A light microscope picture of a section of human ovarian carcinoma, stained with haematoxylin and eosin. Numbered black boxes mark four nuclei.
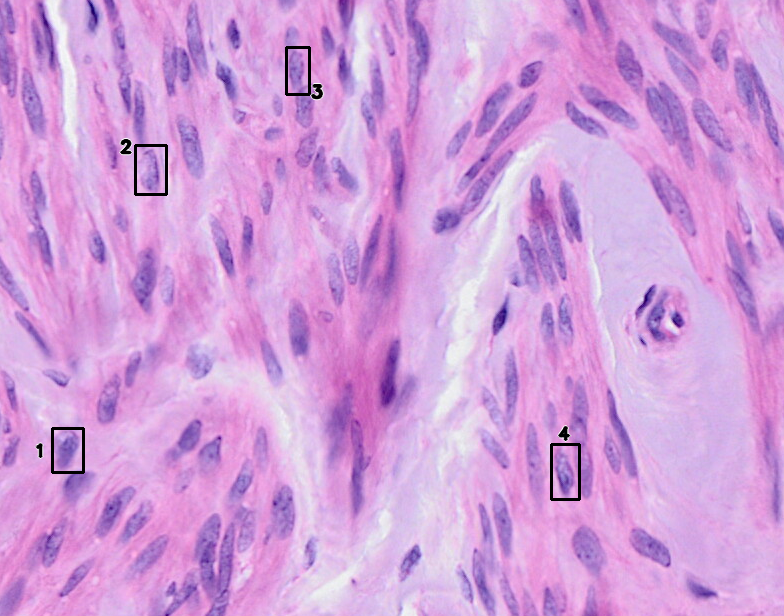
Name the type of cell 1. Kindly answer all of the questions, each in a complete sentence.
Of the numbered cells, the one labelled 1 is a fibroblast.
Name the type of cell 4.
The cell whose nucleus carries the number 4 is a smooth muscle cell.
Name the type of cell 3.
The one numbered 3 among the marked cells is a smooth muscle cell.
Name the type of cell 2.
Cell number 2 in this section is a smooth muscle cell.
